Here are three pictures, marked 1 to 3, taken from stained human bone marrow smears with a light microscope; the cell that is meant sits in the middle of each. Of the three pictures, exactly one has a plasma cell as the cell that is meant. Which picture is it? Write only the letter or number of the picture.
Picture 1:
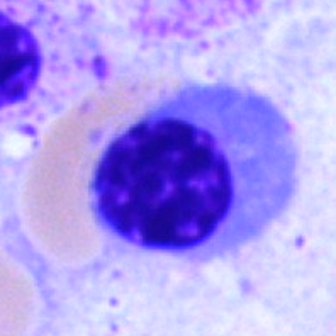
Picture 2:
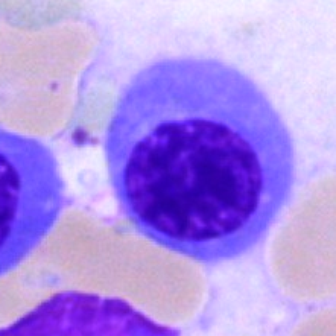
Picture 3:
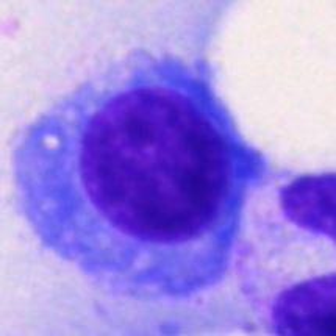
3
